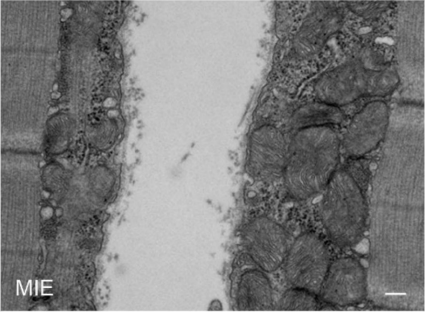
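Two skeletal muscle fibres separated by a pale extracellular space, with many mitochondria clustered beneath the plasma membrane on both sides. The mitochondria are oval, tightly packed and show dense cristae, with small dark granules between them. Deeper in the fibres, striated myofibrils with cross-banding are seen.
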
